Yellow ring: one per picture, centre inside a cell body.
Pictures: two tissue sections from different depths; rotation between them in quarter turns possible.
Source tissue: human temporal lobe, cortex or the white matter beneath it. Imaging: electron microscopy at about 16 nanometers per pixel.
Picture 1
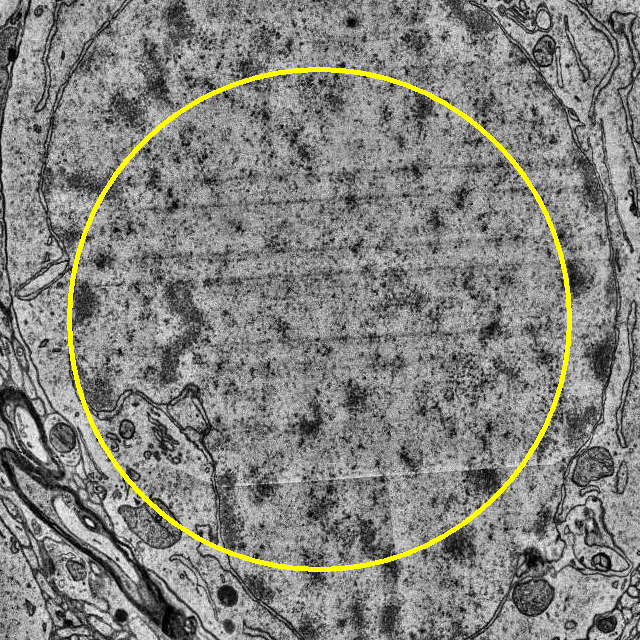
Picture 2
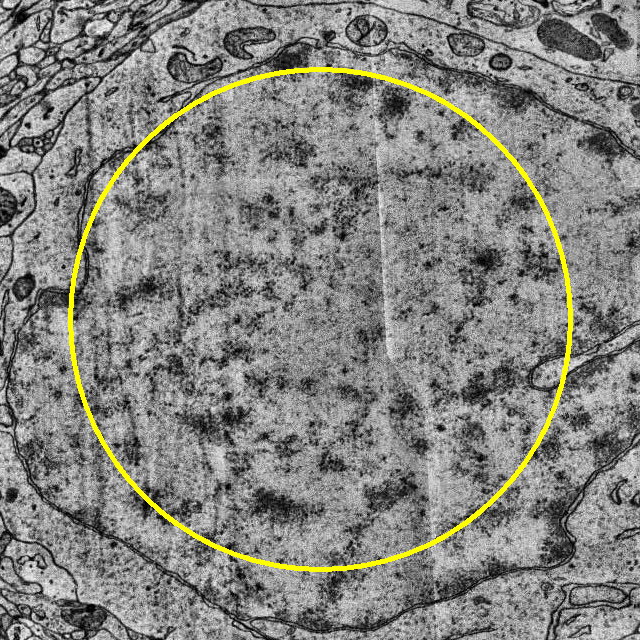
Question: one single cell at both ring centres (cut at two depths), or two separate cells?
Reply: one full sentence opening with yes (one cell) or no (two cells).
No, the cells inside the two rings are not the same cell.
